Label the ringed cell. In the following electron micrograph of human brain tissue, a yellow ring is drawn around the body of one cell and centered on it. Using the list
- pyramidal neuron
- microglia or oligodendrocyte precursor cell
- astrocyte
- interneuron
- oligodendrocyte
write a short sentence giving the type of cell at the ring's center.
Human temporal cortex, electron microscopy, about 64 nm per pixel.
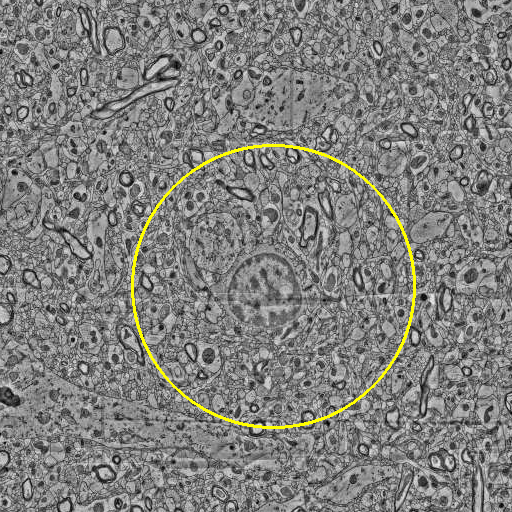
The cell body at the ring's center is that of an oligodendrocyte.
